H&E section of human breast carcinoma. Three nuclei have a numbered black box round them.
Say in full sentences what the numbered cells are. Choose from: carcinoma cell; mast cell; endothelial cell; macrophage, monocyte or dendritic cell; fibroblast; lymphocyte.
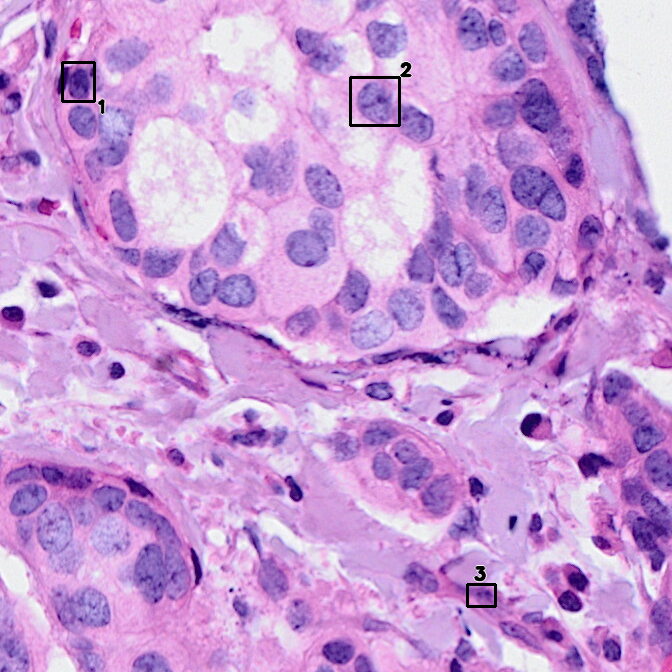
Cells 1 and 2 are carcinoma cells. Cell 3 is an endothelial cell.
